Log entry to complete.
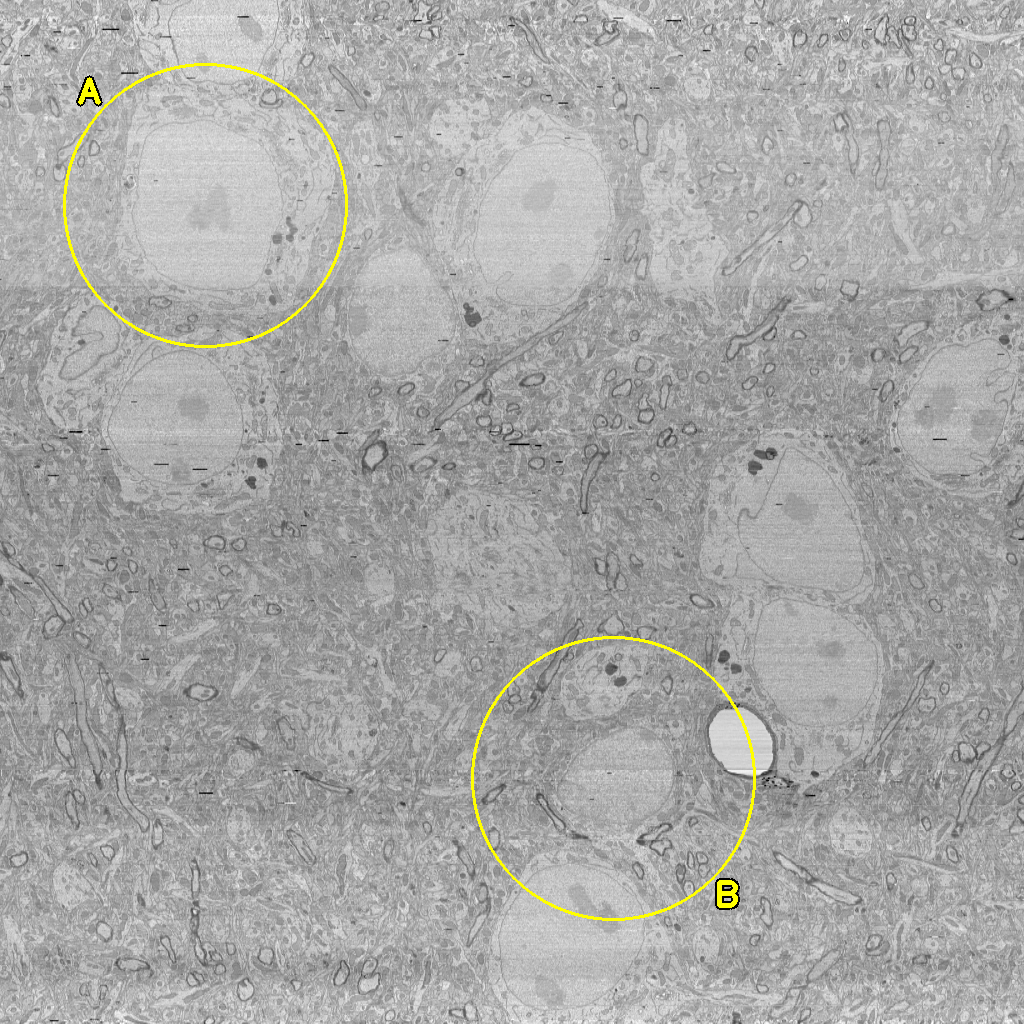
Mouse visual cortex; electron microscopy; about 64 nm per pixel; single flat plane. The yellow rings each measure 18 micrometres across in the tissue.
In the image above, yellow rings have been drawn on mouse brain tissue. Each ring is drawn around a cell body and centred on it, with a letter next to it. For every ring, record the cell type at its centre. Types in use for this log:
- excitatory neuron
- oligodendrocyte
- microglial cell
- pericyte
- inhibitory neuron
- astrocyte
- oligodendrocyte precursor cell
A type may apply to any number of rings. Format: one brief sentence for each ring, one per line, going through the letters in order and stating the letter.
In ring A, the centred cell is an excitatory neuron.
In ring B, the centred cell is an astrocyte.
